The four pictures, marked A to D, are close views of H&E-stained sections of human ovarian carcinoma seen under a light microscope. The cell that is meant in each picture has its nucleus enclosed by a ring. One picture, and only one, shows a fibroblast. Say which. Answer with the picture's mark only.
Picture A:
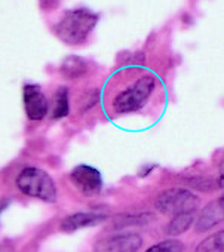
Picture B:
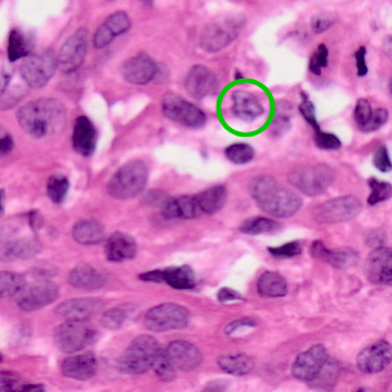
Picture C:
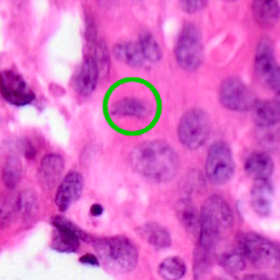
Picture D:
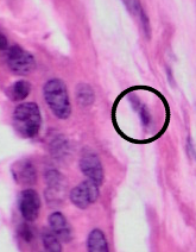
D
